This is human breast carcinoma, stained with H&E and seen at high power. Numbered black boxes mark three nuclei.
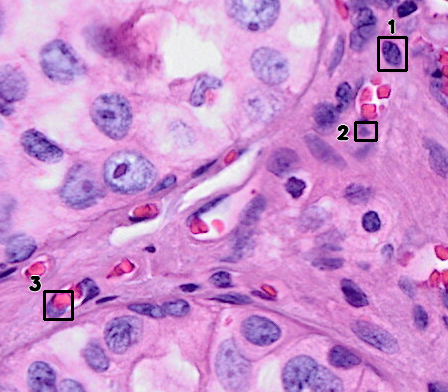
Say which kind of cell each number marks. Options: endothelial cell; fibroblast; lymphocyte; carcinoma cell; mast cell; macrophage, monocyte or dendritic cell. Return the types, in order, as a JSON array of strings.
["mast cell", "endothelial cell", "endothelial cell"]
